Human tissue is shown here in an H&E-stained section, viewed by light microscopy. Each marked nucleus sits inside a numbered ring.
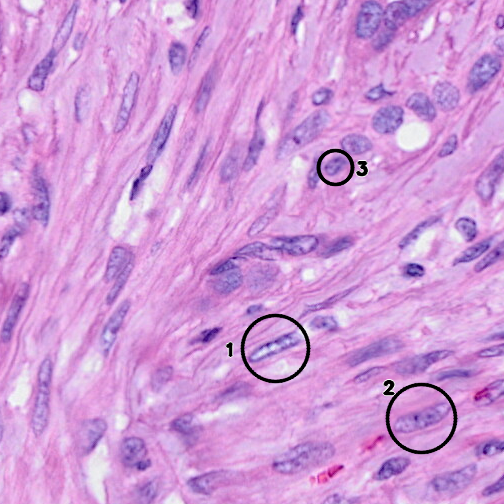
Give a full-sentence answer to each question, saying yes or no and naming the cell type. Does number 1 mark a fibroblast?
Yes, the marked cell numbered 1 is a fibroblast.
